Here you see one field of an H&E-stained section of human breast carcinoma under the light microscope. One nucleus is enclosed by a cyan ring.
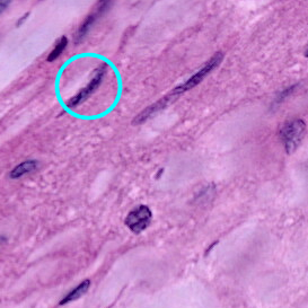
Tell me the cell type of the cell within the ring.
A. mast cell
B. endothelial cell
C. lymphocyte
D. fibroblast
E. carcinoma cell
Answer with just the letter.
D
